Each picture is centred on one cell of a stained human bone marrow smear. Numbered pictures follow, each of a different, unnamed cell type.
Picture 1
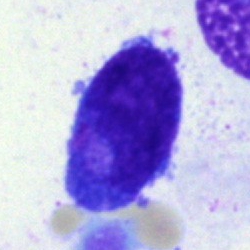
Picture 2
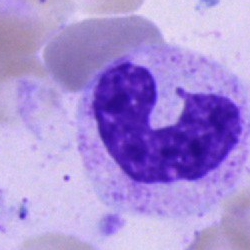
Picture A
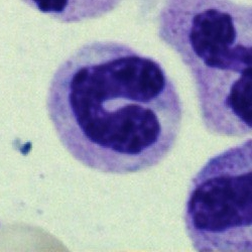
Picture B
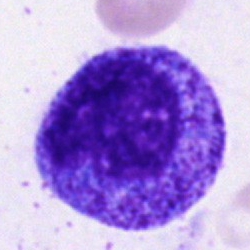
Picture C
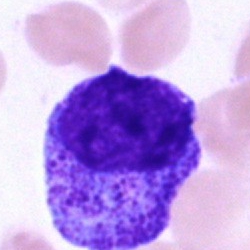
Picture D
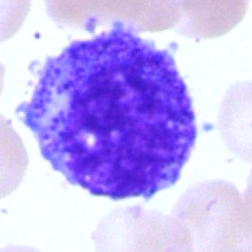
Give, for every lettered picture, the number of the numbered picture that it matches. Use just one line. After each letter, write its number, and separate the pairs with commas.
A 2, B 1, C 1, D 1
